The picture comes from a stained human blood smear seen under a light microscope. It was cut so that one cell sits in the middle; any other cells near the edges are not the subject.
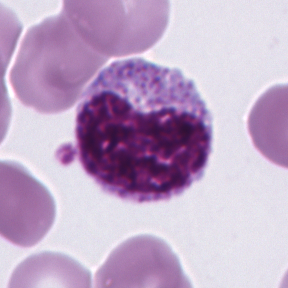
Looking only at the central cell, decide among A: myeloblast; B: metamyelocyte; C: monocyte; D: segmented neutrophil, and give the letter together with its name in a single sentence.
The correct response is option B, naming the cell in the middle as a metamyelocyte.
